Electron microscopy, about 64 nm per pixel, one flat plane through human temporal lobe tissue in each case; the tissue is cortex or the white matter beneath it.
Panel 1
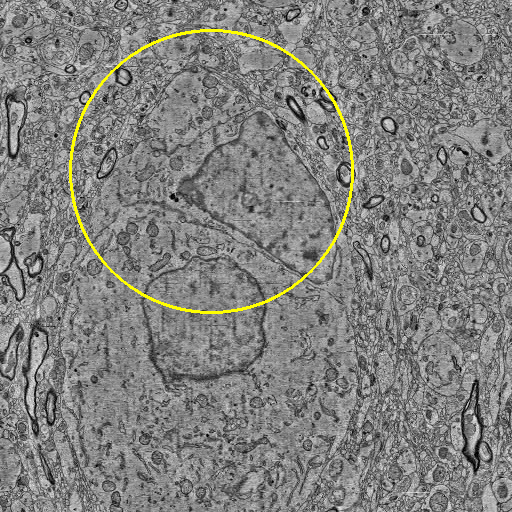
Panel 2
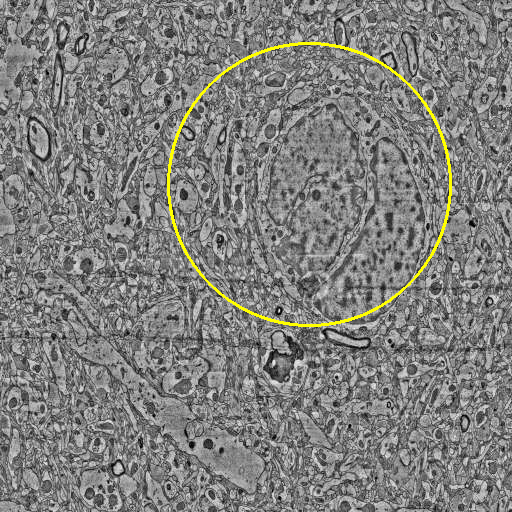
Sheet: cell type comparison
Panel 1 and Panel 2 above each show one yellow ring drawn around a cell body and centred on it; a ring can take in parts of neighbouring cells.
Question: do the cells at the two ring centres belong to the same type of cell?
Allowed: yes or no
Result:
no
